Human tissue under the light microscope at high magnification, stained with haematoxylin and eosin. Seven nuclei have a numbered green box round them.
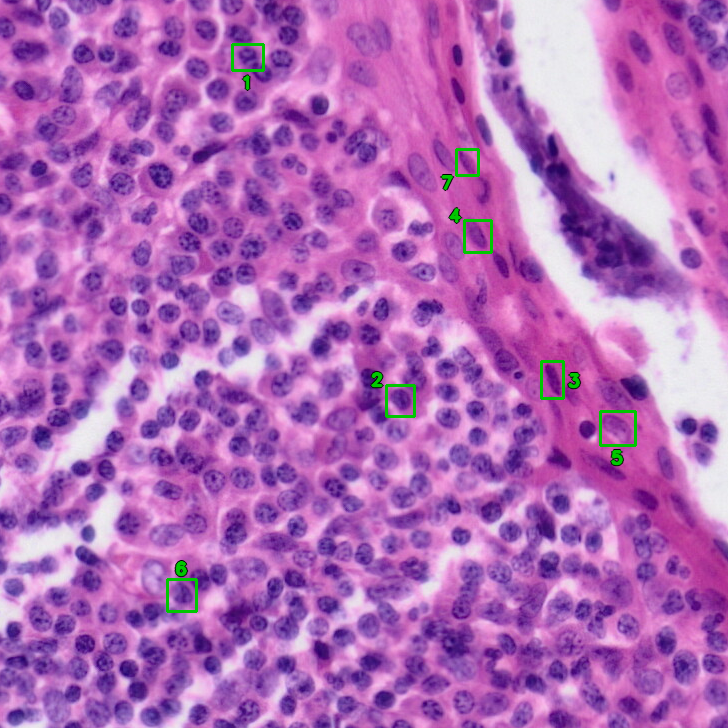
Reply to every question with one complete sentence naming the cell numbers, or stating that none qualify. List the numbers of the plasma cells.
The cells carrying labels 1, 2 and 6 are plasma cells.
